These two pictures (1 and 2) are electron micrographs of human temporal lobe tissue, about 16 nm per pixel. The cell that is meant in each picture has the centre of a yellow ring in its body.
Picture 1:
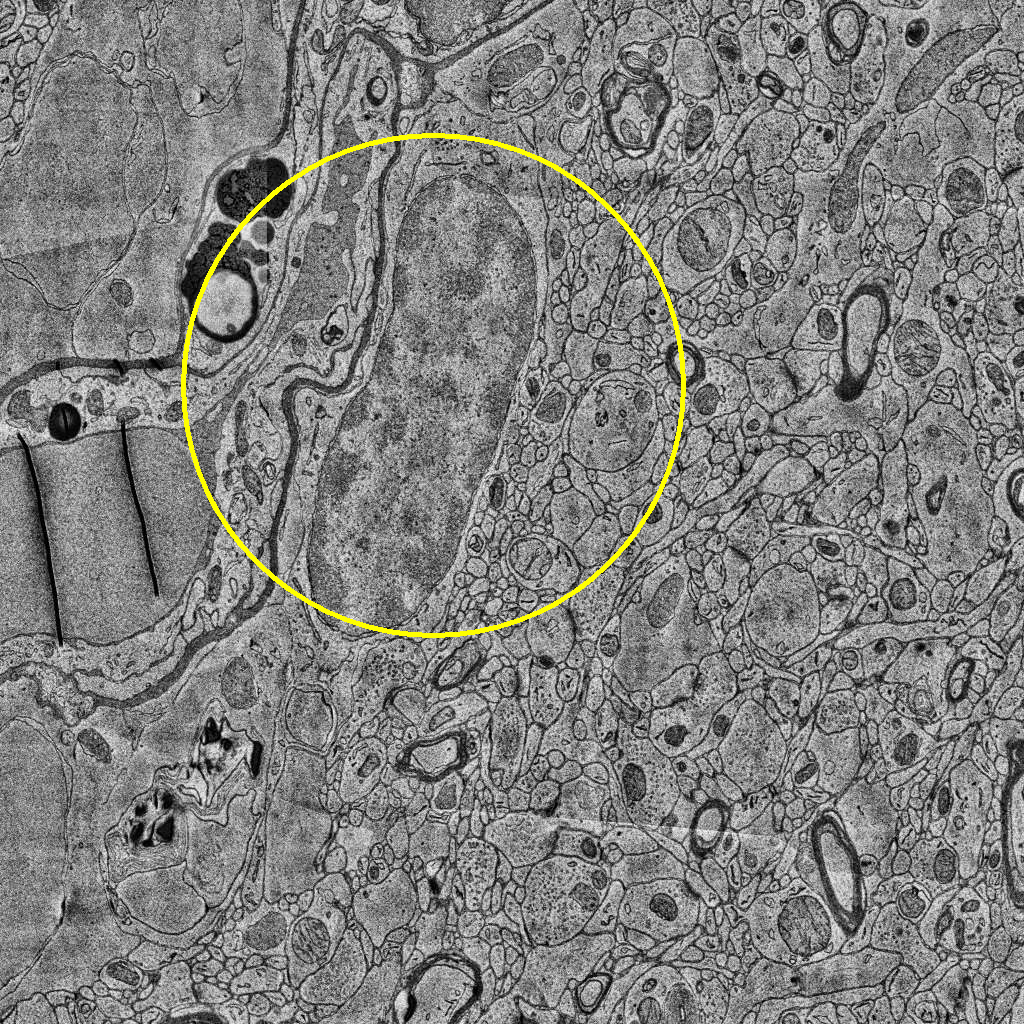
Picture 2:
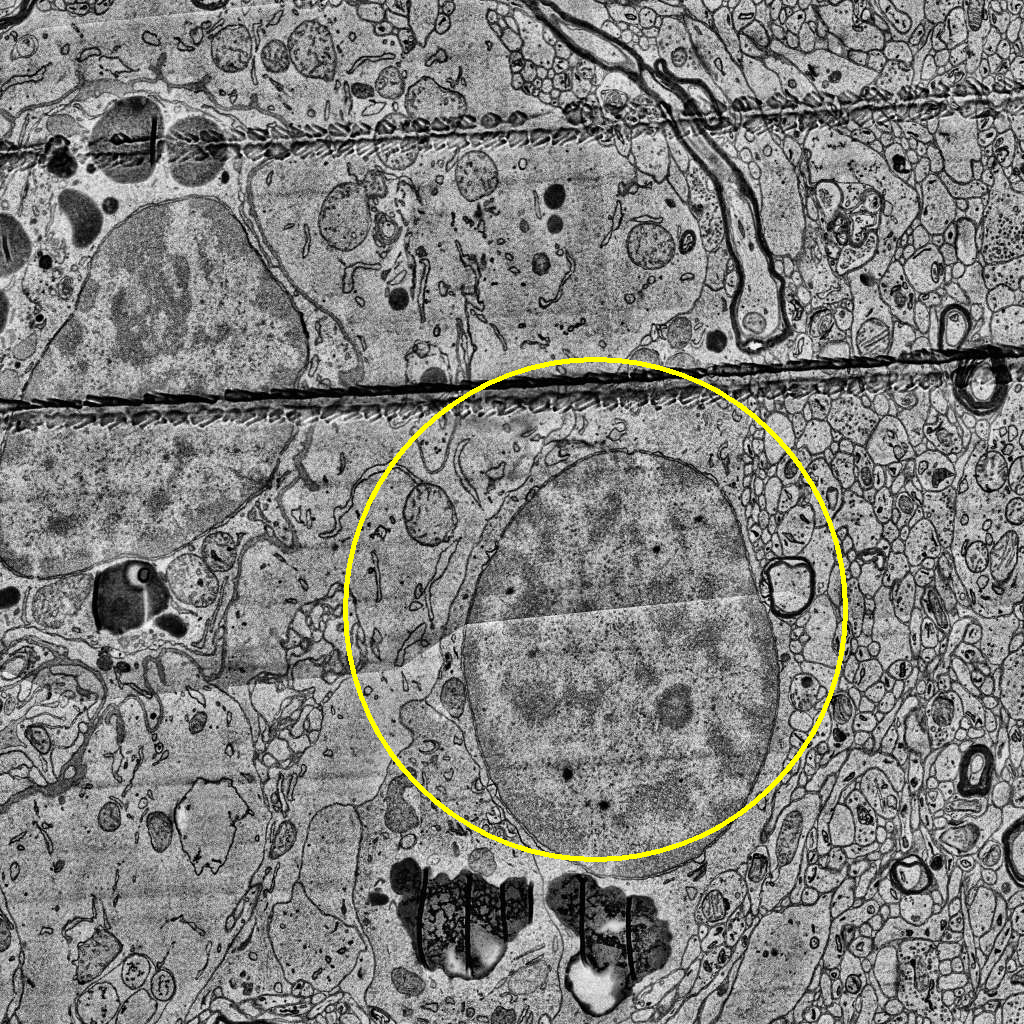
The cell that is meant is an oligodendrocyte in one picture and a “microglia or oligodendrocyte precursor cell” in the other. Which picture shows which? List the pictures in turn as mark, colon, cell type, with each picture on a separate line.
1: microglia or oligodendrocyte precursor cell
2: oligodendrocyte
